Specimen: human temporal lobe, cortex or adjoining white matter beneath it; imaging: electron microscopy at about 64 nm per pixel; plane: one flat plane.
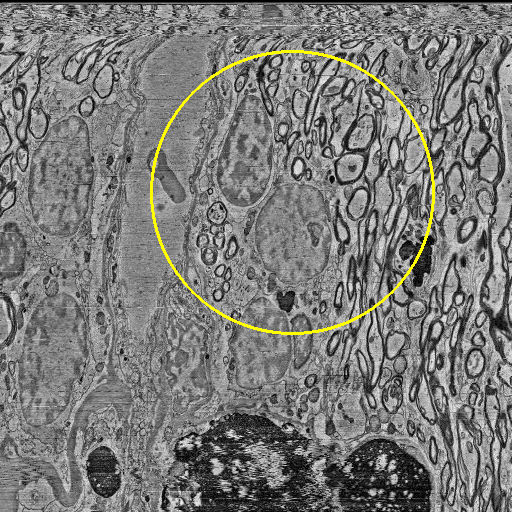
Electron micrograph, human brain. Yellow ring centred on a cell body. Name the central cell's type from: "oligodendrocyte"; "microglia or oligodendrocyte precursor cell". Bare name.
oligodendrocyte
